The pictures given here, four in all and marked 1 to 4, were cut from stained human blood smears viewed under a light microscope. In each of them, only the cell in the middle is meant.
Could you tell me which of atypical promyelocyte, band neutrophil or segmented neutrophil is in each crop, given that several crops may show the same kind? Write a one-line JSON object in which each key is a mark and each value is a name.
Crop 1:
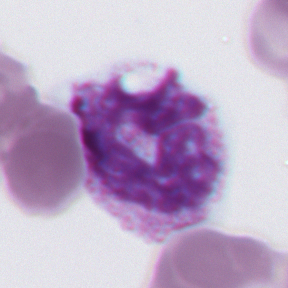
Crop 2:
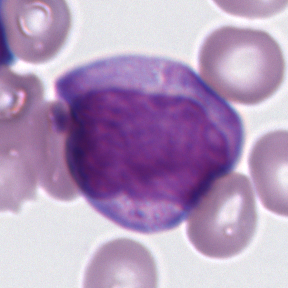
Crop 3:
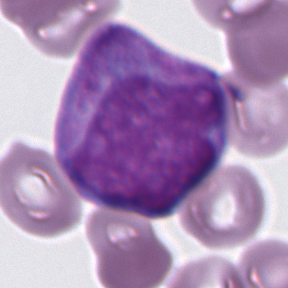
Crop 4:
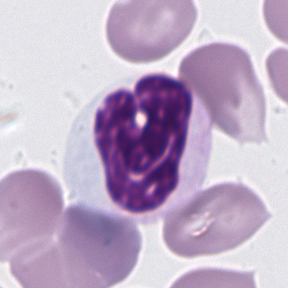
{"1": "segmented neutrophil", "2": "atypical promyelocyte", "3": "atypical promyelocyte", "4": "band neutrophil"}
